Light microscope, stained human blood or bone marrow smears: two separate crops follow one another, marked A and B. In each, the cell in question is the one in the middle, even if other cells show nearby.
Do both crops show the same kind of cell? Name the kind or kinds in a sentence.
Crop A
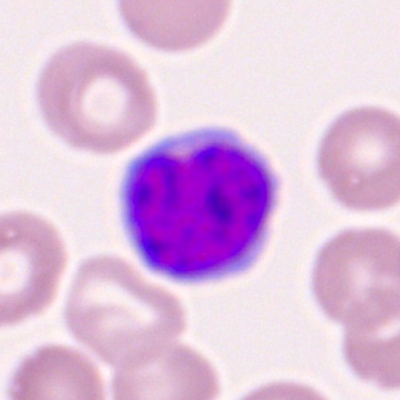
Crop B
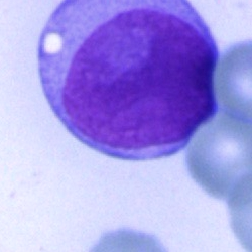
No, in crop A the cell is a lymphocyte, and in crop B it is a blast.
